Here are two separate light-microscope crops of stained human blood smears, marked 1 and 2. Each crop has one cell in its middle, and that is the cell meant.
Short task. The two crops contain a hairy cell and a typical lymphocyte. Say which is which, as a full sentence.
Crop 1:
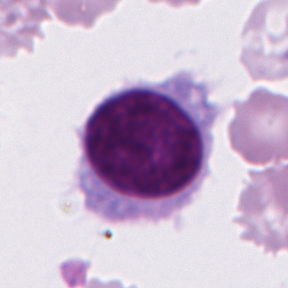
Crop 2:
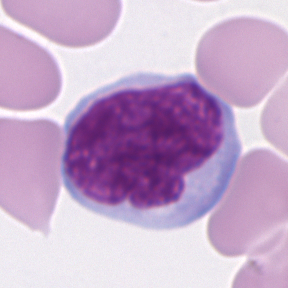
Crop 1 should be reported as a hairy cell, and crop 2 as a typical lymphocyte.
